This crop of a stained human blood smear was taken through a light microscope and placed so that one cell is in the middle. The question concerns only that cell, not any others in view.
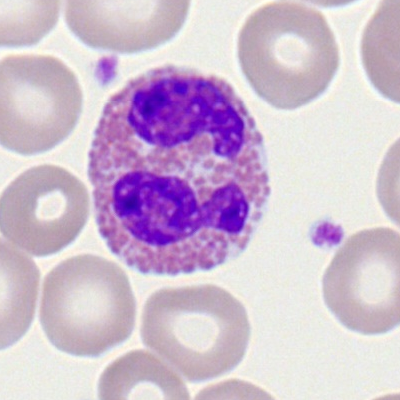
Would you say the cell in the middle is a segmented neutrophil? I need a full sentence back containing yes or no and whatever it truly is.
No, the middle cell is classified as an eosinophil and not as a segmented neutrophil.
